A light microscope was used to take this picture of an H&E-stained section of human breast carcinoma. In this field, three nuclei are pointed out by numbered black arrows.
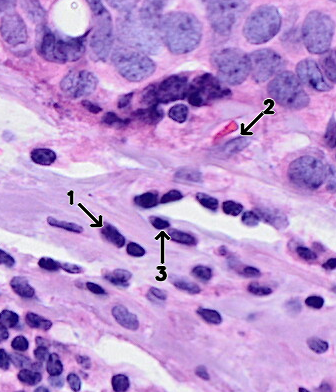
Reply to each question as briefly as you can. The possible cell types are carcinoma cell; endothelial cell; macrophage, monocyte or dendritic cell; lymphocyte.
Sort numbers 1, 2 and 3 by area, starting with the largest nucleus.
2, 1, 3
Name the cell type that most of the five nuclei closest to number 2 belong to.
lymphocyte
